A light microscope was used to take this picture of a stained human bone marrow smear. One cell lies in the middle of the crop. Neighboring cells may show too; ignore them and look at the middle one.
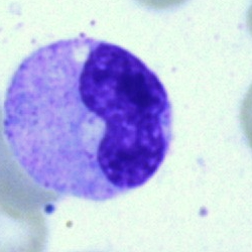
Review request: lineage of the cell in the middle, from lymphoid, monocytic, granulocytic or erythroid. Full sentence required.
In this crop, the central cell belongs to the granulocytic lineage.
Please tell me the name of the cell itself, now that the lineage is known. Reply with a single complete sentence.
The center cell of this crop is a band neutrophil.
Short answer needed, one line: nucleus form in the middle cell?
The cell carries one compact nucleus shaped round, oval or like a kidney.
